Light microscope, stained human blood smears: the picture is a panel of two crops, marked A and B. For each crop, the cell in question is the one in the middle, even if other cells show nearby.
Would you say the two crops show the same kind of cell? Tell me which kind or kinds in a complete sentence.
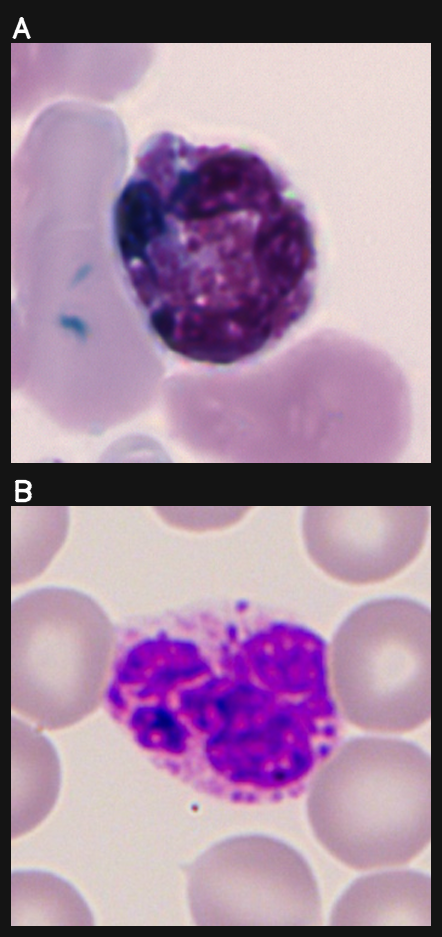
No, shown in crop A is an eosinophil, and shown in crop B is a basophil.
